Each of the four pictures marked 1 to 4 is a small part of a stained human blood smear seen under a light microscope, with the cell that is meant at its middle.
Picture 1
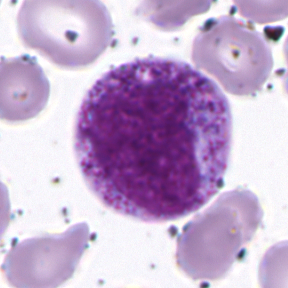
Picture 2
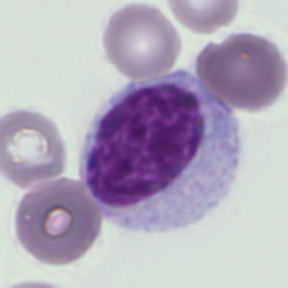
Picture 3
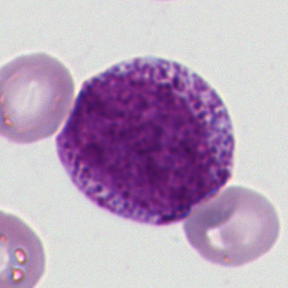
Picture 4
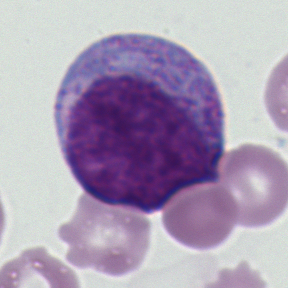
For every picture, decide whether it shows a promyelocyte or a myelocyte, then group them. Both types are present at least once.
1: promyelocyte
2: myelocyte
3: promyelocyte
4: promyelocyte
